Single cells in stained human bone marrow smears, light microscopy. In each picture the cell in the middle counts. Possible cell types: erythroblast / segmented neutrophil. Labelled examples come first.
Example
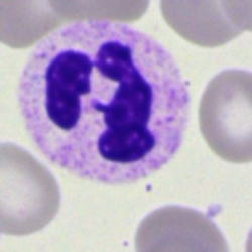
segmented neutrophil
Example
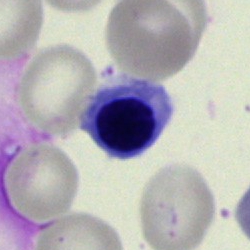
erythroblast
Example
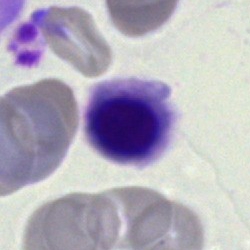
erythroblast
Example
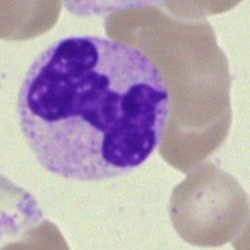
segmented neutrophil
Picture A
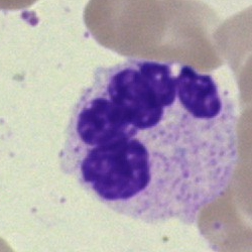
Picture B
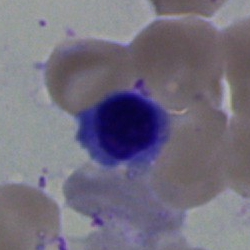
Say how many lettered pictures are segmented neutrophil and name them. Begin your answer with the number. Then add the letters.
1, namely A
